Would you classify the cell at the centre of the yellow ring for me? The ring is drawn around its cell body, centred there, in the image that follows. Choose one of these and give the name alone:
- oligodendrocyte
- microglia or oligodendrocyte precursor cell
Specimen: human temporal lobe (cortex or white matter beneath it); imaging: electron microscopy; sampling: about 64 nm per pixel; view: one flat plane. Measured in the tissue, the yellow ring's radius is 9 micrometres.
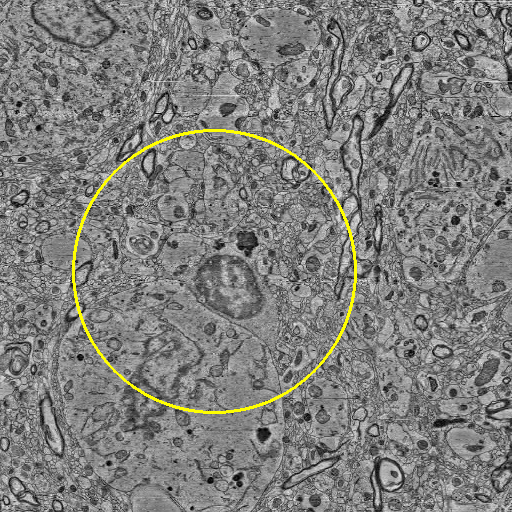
oligodendrocyte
